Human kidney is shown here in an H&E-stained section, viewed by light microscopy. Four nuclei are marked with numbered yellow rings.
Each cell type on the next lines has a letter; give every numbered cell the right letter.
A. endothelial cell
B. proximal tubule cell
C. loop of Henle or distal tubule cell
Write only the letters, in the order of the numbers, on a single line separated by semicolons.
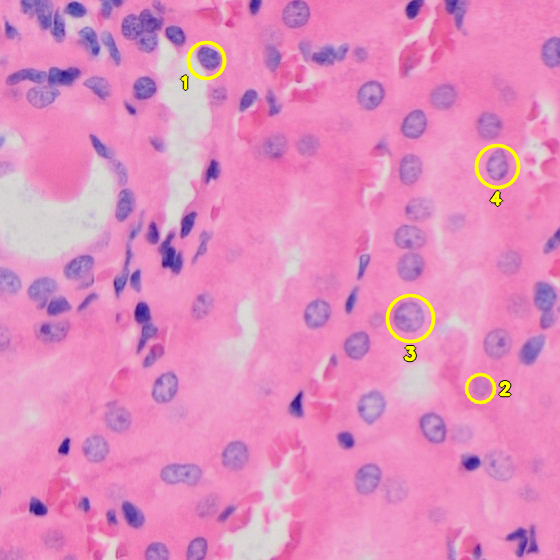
C; B; B; B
